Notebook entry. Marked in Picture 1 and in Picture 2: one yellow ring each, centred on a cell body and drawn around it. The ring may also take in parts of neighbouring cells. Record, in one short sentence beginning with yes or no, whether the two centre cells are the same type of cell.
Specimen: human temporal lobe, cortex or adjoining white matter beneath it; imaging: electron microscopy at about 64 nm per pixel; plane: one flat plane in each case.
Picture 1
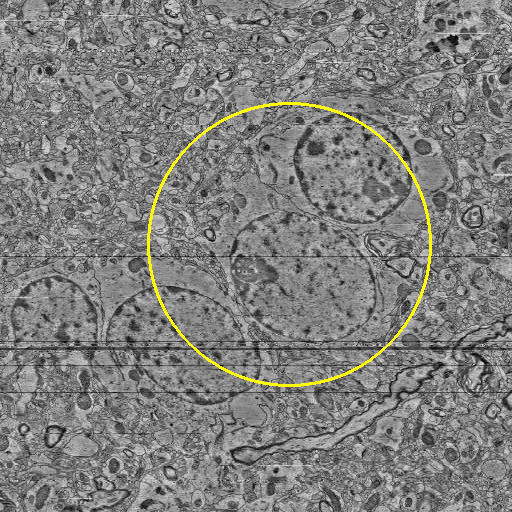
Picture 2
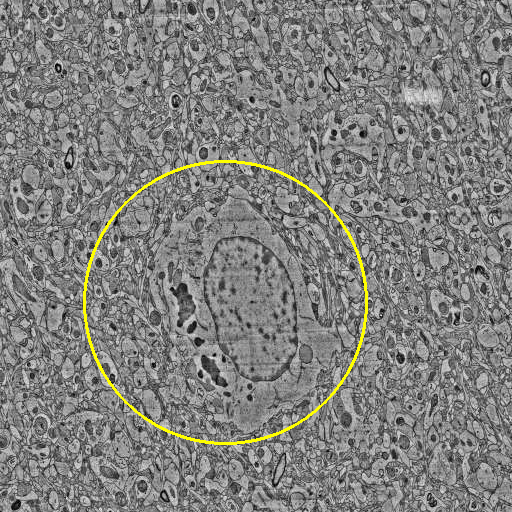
Yes, both are the same type of cell.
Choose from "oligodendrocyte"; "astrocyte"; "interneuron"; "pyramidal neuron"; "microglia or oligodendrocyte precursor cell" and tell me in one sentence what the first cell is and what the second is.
In each of the two pictures, the ringed cell is an astrocyte.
